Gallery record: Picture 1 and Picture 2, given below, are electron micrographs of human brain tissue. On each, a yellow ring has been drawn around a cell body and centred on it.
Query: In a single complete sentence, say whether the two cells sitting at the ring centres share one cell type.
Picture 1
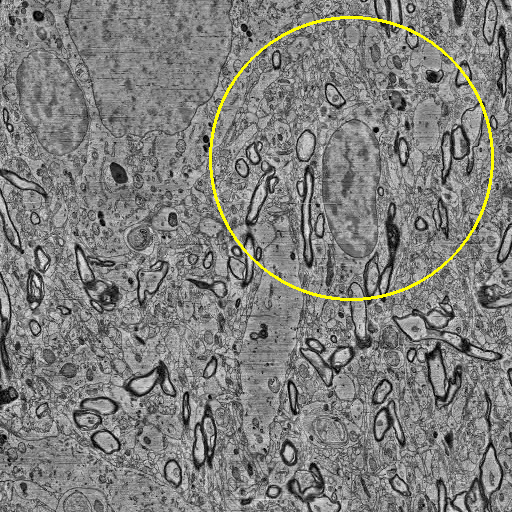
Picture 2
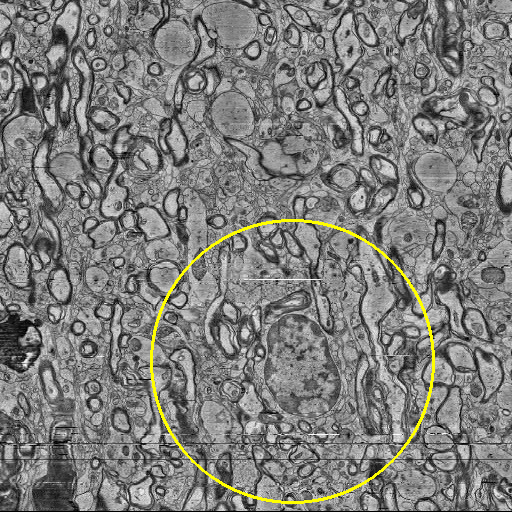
Yes, in both pictures the cell at the ring's centre is of one and the same type.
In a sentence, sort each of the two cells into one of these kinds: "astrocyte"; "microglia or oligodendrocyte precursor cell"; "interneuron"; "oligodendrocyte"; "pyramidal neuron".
Each of the ringed cells, first and second, is a microglial cell or oligodendrocyte precursor cell.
